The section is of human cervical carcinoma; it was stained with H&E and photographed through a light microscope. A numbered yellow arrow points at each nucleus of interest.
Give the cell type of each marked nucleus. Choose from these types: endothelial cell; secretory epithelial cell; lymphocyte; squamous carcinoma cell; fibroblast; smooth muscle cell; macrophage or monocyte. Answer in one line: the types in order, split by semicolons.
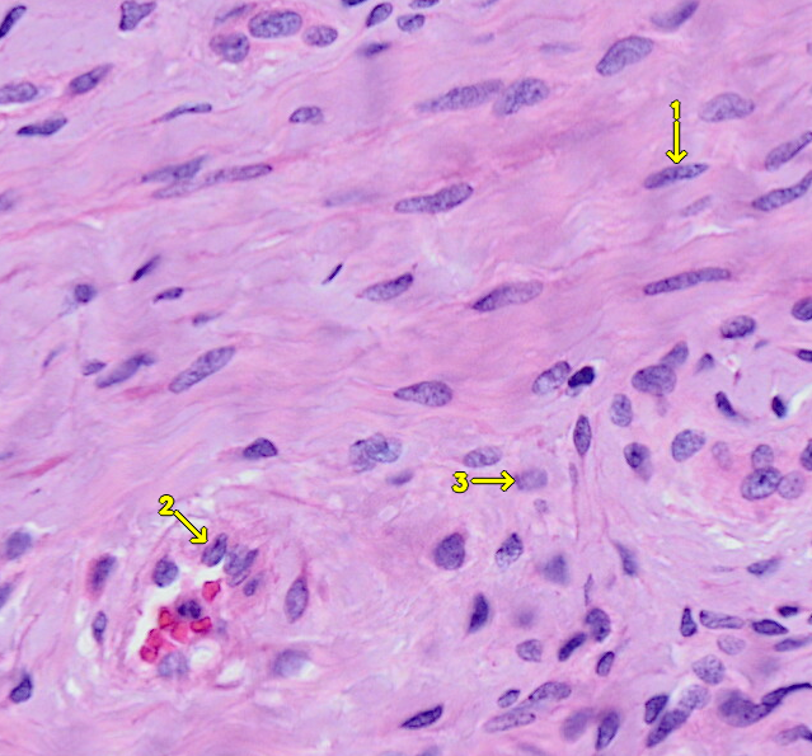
fibroblast; endothelial cell; fibroblast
